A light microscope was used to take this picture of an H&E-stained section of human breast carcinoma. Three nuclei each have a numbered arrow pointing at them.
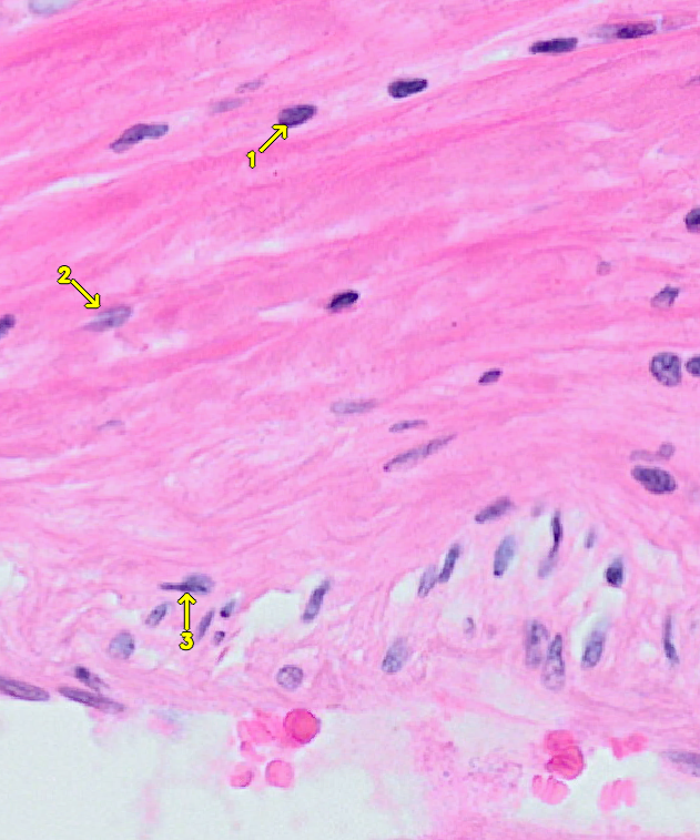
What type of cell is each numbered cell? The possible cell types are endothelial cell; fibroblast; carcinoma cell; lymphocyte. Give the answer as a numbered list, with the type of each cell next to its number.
1. lymphocyte
2. fibroblast
3. fibroblast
